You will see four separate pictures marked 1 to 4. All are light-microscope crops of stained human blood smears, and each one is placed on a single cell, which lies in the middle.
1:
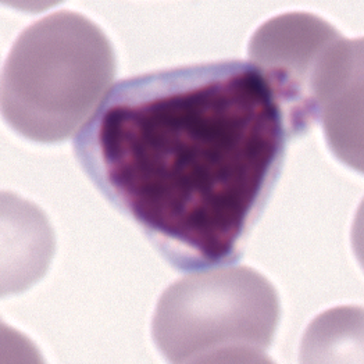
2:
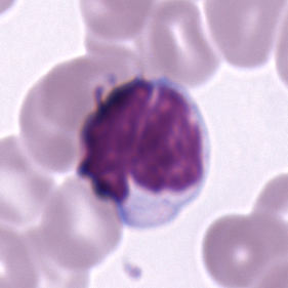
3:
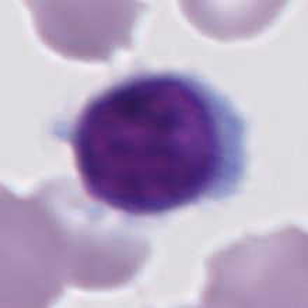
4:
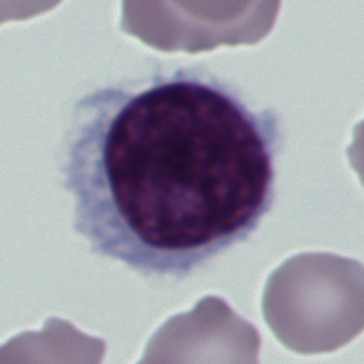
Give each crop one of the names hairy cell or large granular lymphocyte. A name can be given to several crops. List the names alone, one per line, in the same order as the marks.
large granular lymphocyte
large granular lymphocyte
hairy cell
hairy cell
